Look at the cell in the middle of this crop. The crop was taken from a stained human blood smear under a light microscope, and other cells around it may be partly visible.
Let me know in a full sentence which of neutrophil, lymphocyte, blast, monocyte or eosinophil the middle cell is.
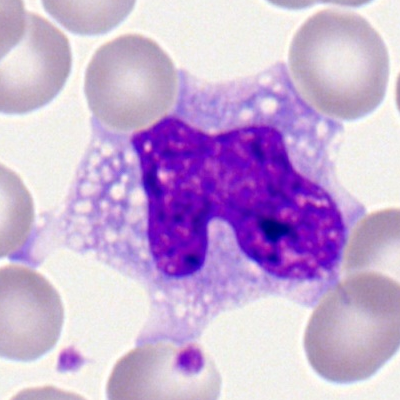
The central element of this crop is a cell, namely a monocyte.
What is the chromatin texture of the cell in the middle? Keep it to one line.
What stands out is fine chromatin lacking any coarse clumps.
